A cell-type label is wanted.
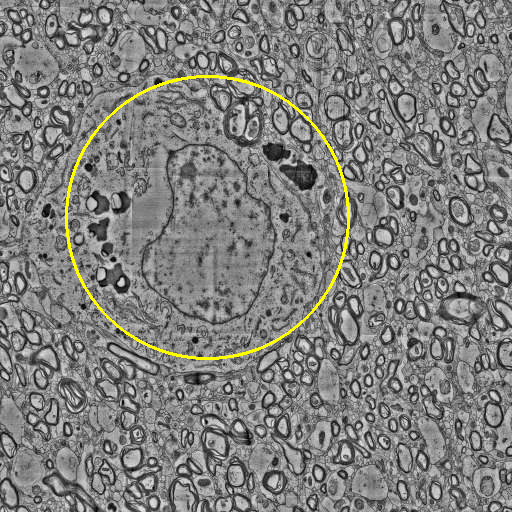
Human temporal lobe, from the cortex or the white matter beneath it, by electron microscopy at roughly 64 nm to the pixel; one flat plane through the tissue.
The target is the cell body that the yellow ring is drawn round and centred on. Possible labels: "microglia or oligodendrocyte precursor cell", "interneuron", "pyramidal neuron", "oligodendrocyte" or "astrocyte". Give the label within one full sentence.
Of the labels offered, the cell in the middle of the yellow ring is a pyramidal neuron.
